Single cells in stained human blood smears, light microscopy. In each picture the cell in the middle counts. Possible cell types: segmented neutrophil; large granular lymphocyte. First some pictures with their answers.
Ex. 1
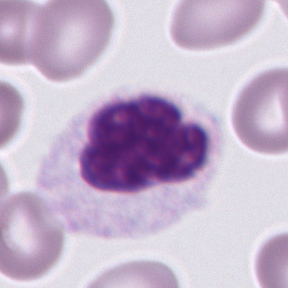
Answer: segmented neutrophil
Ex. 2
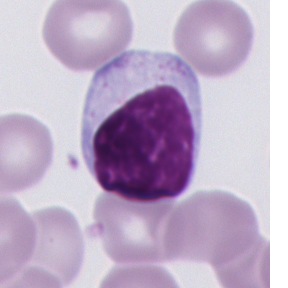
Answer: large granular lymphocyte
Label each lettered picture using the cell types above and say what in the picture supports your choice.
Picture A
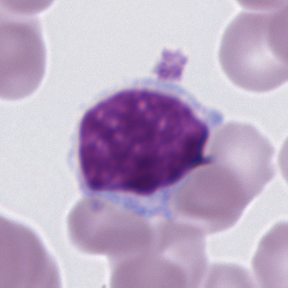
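Label: large granular lymphocyte. The cytoplasm forms only a narrow rim around the nucleus.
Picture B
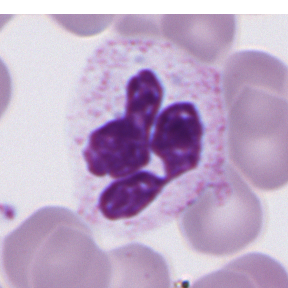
Label: segmented neutrophil. The cytoplasm is plentiful and very pale.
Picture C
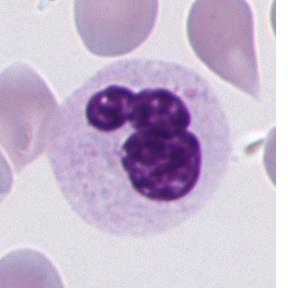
Label: segmented neutrophil. The cytoplasm is abundant and pale pinkish-lilac.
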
